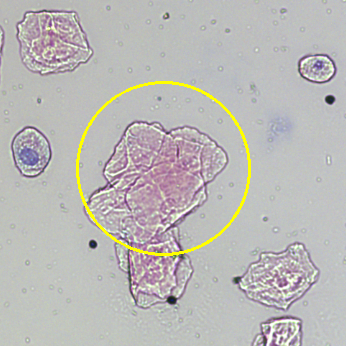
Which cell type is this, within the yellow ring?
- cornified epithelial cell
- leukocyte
Within the ring is a cornified epithelial cell.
